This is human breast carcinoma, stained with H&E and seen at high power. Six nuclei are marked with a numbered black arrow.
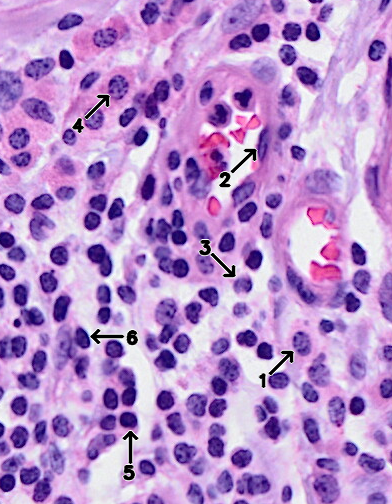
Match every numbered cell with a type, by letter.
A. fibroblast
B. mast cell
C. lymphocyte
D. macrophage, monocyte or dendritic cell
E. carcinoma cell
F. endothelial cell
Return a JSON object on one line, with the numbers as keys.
{"1": "B", "2": "F", "3": "C", "4": "B", "5": "C", "6": "C"}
